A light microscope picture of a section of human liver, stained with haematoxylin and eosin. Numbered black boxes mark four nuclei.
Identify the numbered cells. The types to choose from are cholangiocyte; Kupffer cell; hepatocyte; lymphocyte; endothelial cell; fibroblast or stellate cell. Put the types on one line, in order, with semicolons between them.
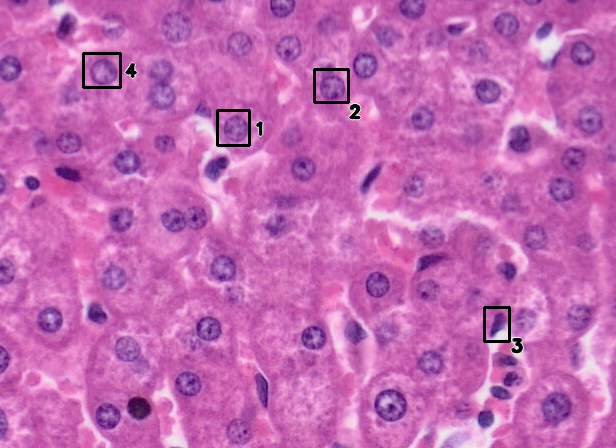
hepatocyte; hepatocyte; endothelial cell; hepatocyte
